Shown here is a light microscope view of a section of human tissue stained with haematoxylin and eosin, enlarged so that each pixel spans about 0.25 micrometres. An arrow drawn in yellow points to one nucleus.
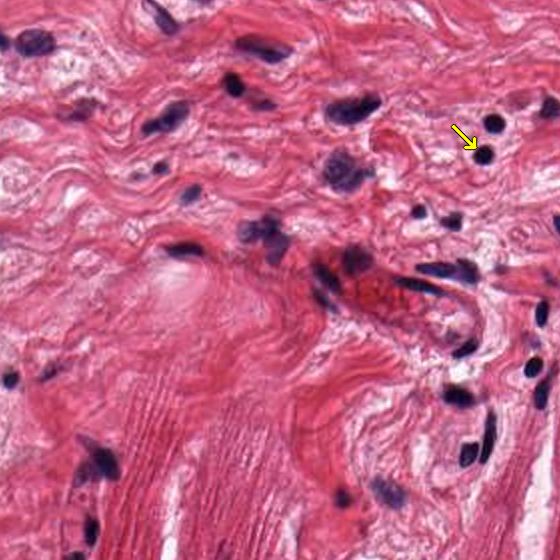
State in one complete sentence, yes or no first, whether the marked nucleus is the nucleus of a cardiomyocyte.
No, the marked nucleus, rather than belonging to a cardiomyocyte, belongs to a supporting cell.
